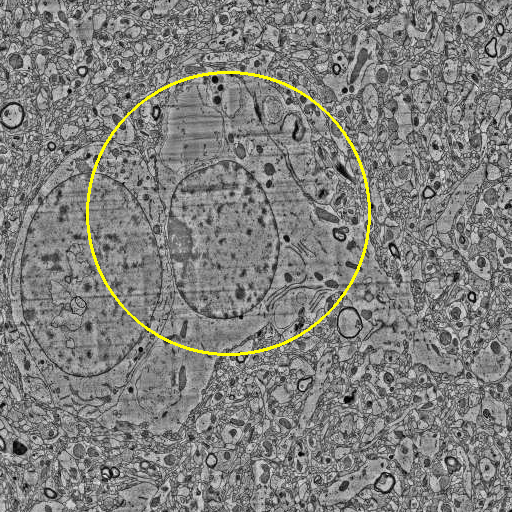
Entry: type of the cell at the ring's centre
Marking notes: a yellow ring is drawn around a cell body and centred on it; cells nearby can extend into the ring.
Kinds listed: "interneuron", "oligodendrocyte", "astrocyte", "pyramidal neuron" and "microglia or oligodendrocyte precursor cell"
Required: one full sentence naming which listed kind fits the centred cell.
My entry names an astrocyte as the cell whose body the yellow ring centres on.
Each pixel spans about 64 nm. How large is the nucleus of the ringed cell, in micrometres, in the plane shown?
The nucleus works out at approximately 10 by 7 micrometres in this plane.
